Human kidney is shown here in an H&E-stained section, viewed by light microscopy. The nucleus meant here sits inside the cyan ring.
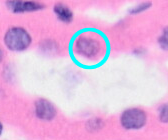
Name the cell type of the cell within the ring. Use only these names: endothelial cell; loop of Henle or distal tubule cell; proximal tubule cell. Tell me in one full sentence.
Within this tissue, the cell within the ring is a loop of Henle or distal tubule cell.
